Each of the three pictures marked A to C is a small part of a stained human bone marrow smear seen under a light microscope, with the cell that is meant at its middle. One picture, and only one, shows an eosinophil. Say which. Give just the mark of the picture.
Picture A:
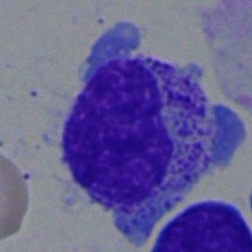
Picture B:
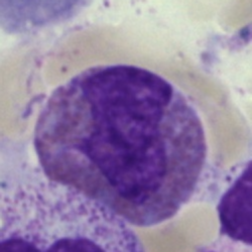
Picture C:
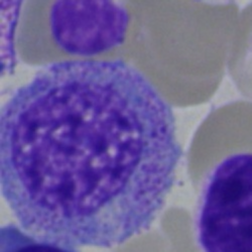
B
